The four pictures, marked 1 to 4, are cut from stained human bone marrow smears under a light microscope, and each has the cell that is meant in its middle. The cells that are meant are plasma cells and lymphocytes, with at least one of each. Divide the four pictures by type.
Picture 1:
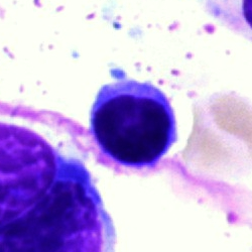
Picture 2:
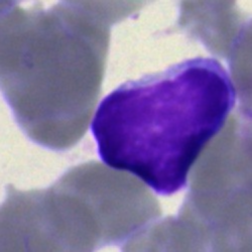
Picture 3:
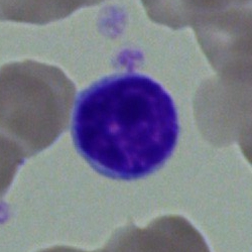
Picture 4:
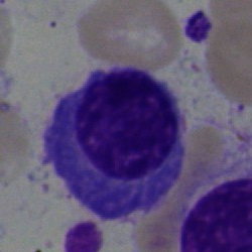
1: lymphocyte
2: lymphocyte
3: lymphocyte
4: plasma cell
